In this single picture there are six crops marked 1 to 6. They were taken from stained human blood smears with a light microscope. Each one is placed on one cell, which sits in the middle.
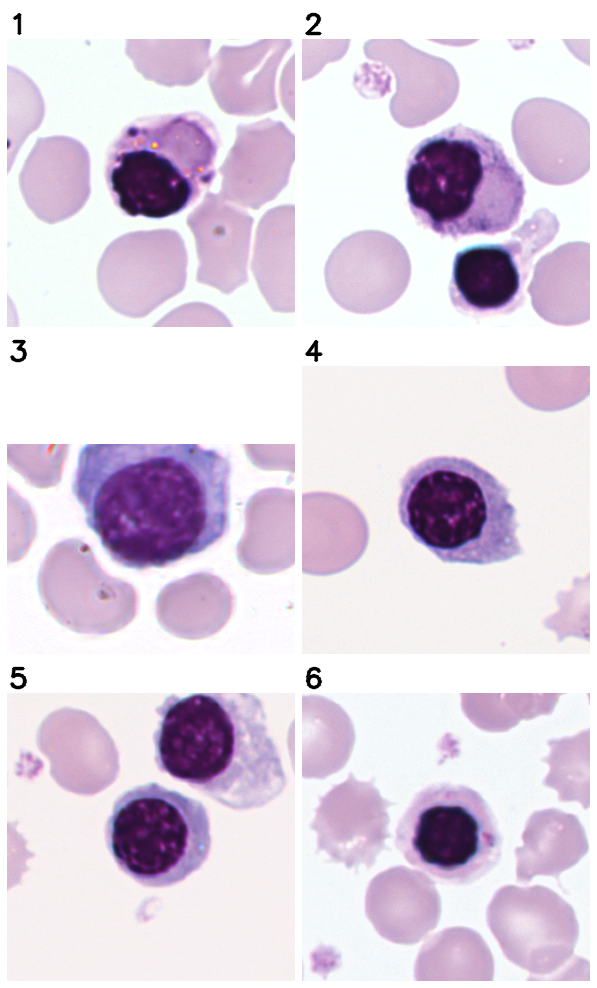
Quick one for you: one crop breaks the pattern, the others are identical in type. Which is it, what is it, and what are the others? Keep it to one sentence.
In crop 3 the central cell is a plasma cell, whereas the other crops all contain normoblasts.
